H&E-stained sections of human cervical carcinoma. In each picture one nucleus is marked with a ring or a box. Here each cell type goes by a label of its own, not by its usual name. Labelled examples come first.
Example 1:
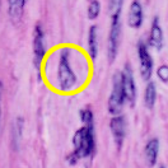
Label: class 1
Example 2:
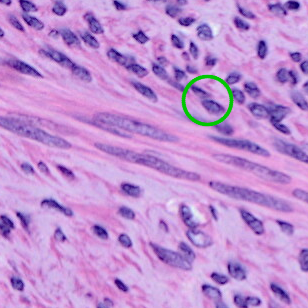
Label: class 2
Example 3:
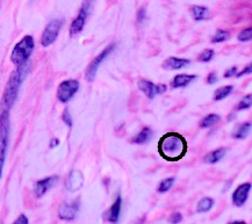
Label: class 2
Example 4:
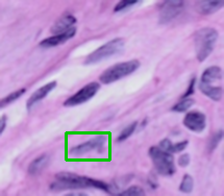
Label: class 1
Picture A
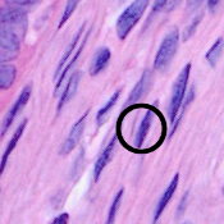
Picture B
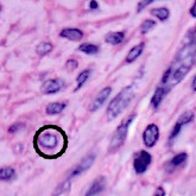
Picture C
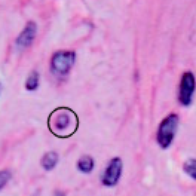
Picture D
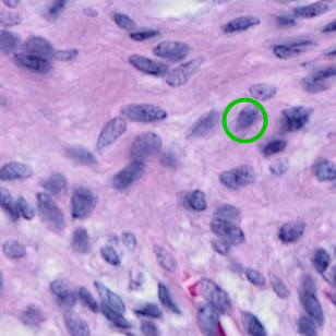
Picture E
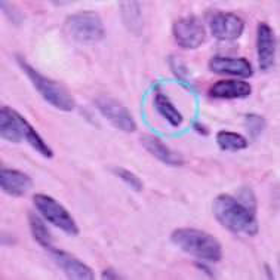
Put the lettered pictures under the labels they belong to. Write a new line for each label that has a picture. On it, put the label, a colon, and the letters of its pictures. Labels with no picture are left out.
class 1: A, D, E
class 2: B, C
